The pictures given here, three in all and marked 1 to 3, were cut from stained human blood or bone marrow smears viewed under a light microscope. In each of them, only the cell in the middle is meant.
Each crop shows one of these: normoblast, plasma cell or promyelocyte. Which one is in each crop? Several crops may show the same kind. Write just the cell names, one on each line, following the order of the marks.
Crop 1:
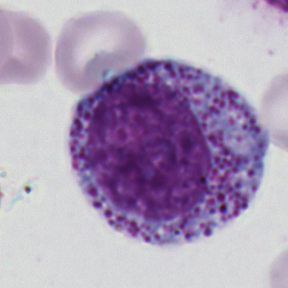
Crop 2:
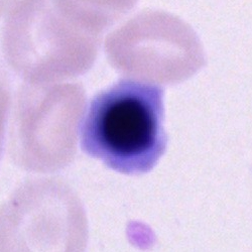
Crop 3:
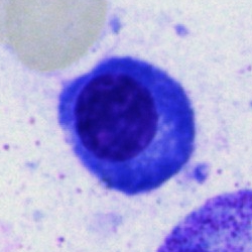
promyelocyte
normoblast
plasma cell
